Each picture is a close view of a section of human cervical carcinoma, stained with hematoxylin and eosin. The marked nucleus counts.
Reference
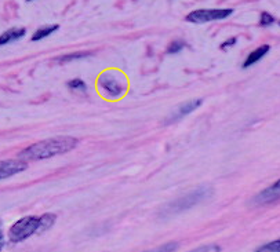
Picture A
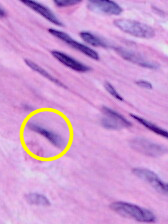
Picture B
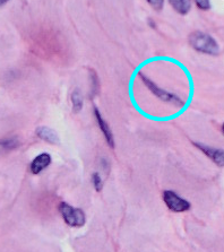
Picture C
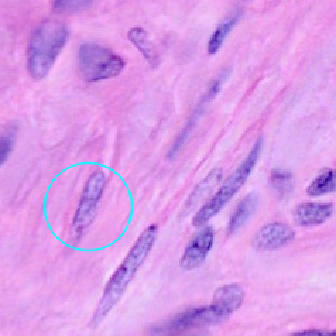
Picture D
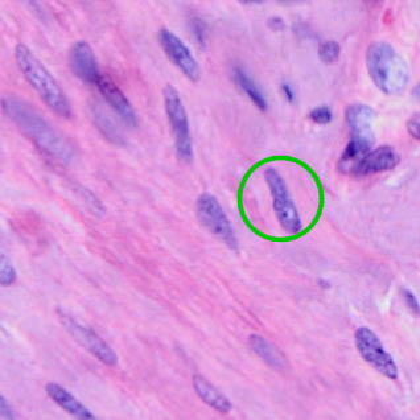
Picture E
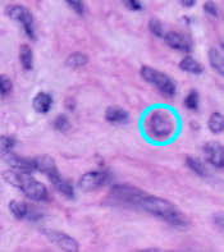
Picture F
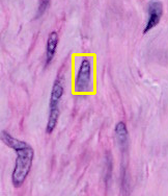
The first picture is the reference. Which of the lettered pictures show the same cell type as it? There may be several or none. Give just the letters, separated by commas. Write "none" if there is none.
C, E, F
